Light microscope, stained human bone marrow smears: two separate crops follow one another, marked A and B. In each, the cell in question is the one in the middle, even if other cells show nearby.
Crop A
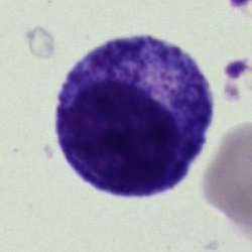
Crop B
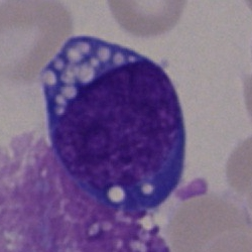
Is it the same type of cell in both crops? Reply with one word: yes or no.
no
